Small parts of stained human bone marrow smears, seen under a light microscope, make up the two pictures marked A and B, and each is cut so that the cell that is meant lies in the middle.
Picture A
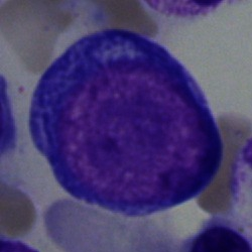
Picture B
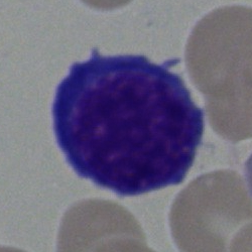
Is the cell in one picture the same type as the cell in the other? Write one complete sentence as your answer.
Yes, both are proerythroblasts.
